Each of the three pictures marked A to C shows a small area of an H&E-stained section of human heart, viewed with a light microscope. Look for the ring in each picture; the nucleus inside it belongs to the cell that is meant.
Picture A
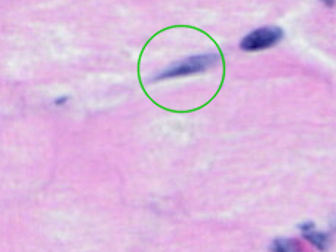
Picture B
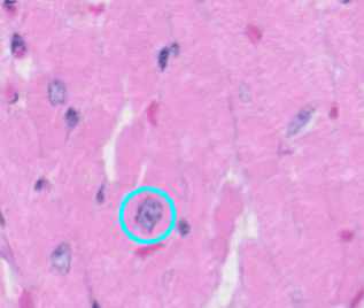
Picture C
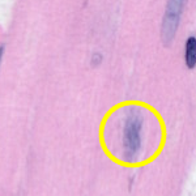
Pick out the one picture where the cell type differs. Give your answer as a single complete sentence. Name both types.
All pictures except B show endothelial cells; picture B shows a cardiomyocyte.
